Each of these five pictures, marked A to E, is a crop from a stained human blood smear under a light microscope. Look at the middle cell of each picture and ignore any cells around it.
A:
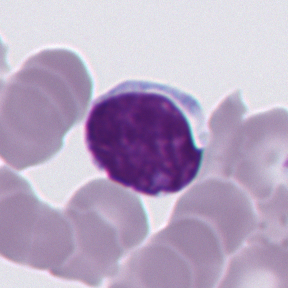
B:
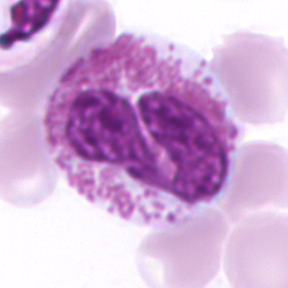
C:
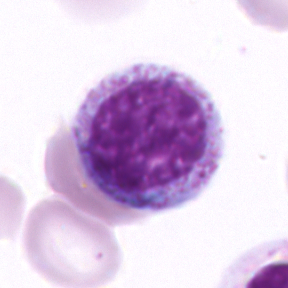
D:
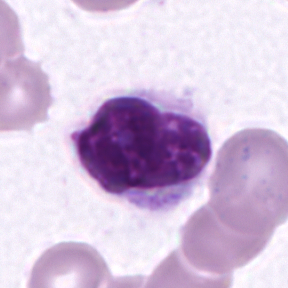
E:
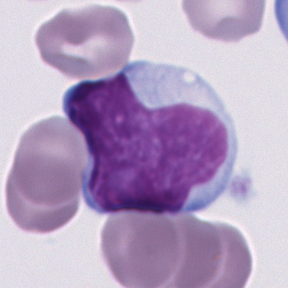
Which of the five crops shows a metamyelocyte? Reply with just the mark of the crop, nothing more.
C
